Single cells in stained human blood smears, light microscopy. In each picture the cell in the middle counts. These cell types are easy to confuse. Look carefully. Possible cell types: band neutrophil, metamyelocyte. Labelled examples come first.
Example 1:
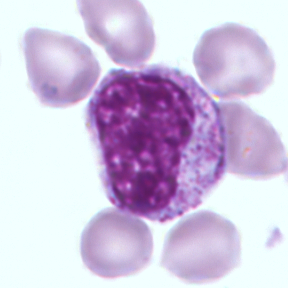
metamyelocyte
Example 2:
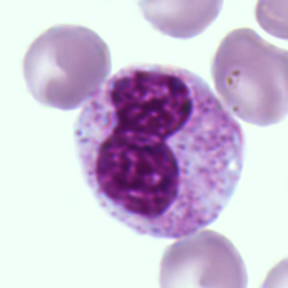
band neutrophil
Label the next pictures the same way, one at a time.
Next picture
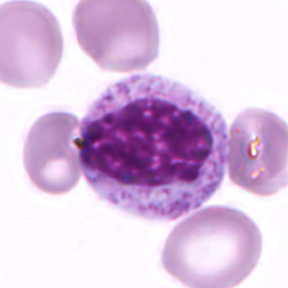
metamyelocyte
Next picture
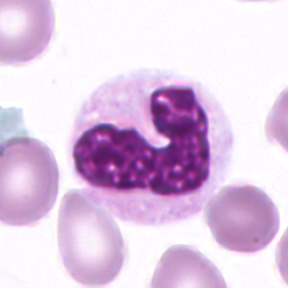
band neutrophil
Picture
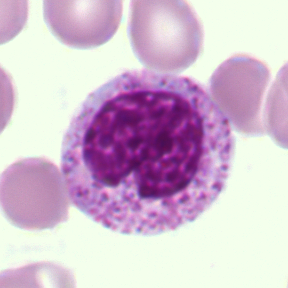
band neutrophil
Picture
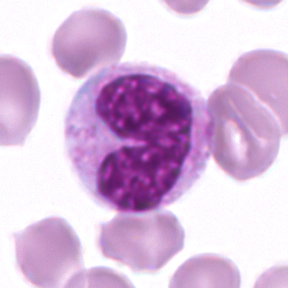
band neutrophil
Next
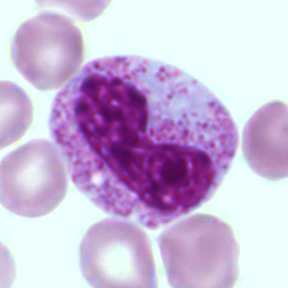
band neutrophil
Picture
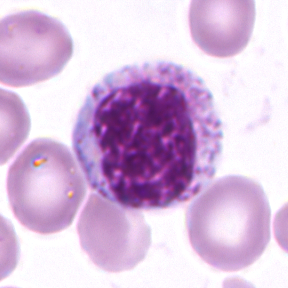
metamyelocyte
